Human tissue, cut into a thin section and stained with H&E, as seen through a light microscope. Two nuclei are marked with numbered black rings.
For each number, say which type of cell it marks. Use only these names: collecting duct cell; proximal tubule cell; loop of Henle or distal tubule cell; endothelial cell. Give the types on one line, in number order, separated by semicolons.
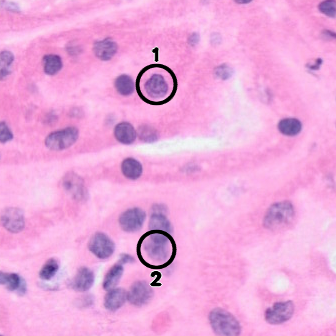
proximal tubule cell; collecting duct cell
